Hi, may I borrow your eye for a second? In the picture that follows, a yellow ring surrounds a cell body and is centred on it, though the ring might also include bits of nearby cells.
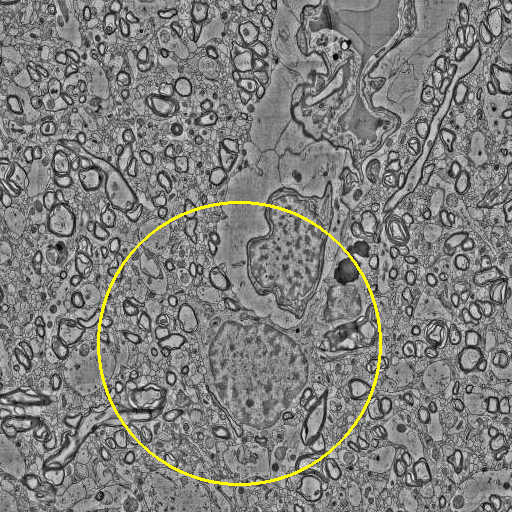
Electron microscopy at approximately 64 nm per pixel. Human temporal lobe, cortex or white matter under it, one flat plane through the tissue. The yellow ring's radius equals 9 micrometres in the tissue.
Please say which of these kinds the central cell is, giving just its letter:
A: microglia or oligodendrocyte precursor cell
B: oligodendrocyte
B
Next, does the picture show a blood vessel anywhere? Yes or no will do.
Yes, one appears.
